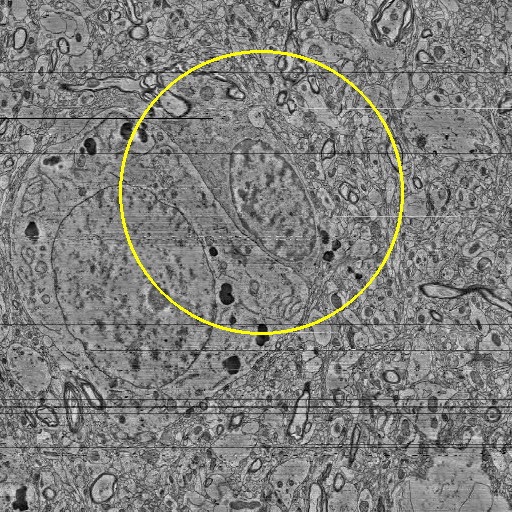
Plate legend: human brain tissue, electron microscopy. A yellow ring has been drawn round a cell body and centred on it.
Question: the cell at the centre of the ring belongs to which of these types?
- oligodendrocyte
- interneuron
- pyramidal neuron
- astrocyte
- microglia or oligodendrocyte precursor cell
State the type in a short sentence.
The cell in the middle of the ring is an oligodendrocyte.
